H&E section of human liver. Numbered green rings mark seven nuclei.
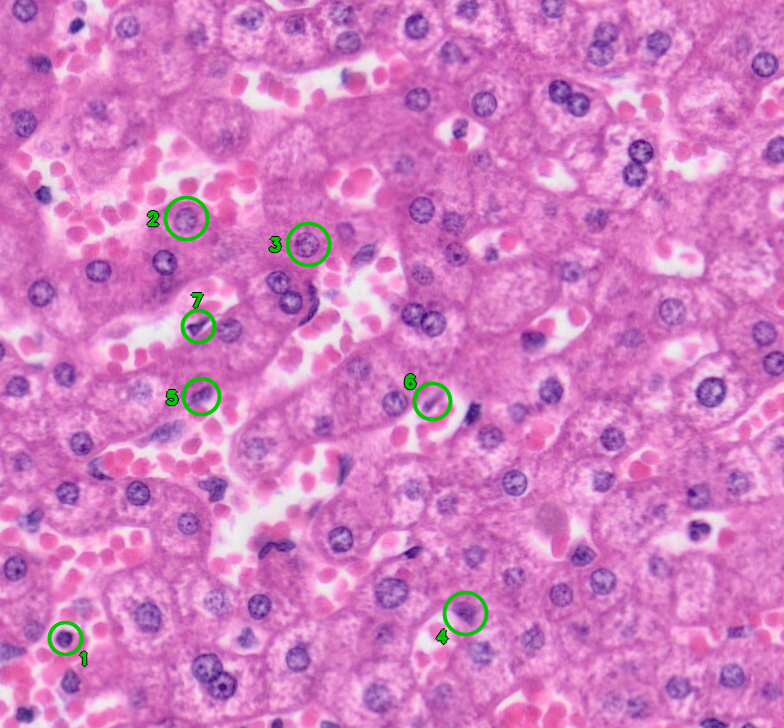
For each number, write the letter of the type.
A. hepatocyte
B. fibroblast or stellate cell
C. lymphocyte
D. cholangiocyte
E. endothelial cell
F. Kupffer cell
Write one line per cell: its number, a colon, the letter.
1: C
2: A
3: A
4: E
5: B
6: F
7: E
